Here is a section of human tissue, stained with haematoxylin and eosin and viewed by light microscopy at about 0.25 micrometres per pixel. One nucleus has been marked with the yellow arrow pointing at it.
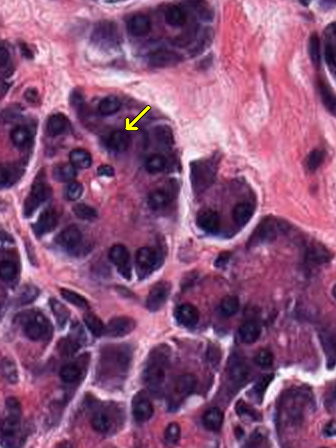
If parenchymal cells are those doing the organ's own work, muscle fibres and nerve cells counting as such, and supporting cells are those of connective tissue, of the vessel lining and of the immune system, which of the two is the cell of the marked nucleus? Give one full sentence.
The marked nucleus forms part of a parenchymal cell, namely a pancreatic acinar cell.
